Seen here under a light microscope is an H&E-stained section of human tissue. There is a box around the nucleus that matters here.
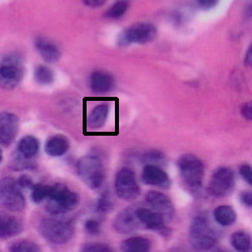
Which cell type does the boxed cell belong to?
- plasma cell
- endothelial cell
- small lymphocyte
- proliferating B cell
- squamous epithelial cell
endothelial cell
